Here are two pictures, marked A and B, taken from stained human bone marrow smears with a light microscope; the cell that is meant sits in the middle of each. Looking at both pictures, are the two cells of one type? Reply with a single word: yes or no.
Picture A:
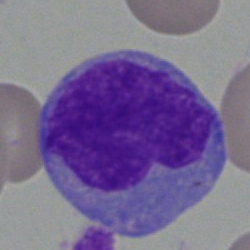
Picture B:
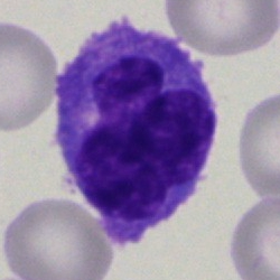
yes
